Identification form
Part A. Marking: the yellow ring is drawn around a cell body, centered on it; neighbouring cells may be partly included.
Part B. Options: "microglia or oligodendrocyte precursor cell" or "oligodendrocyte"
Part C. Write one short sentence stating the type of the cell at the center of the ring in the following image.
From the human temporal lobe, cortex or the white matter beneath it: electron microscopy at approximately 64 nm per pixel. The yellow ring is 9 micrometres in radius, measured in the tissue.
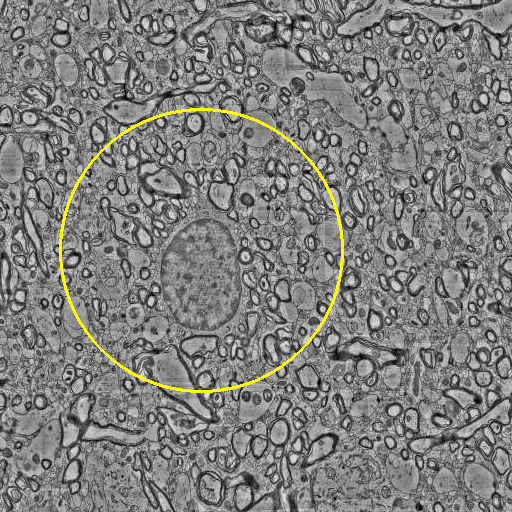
The center of the ring holds an oligodendrocyte.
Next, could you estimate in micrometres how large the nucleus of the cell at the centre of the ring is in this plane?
In this plane, approximately 7 by 5 micrometers.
